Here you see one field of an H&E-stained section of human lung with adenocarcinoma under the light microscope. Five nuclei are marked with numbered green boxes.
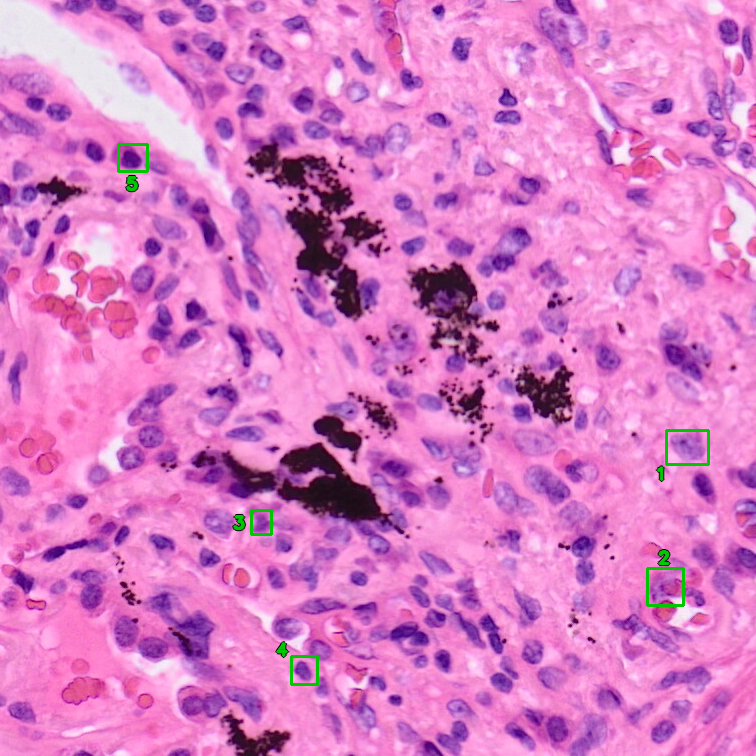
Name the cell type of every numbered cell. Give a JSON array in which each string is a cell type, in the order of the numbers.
["fibroblast", "endothelial cell", "plasma cell", "lymphocyte", "plasma cell"]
